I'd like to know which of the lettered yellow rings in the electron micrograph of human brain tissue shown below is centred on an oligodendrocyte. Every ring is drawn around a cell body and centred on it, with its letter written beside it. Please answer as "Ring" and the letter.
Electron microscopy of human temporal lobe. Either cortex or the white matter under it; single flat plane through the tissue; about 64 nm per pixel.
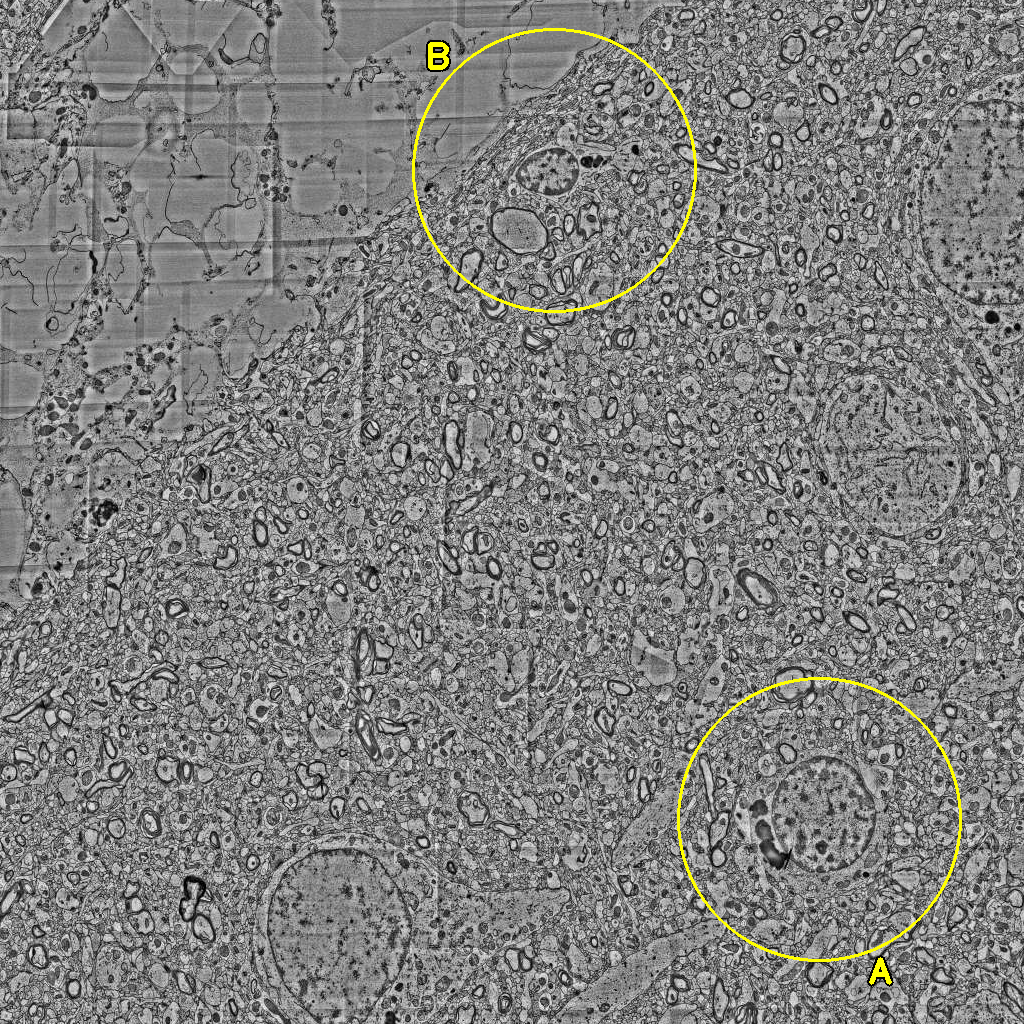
Ring A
